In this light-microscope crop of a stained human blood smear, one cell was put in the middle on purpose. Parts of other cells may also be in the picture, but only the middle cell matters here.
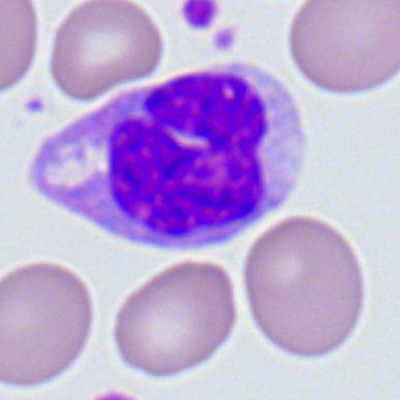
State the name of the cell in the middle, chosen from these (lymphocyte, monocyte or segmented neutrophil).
monocyte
